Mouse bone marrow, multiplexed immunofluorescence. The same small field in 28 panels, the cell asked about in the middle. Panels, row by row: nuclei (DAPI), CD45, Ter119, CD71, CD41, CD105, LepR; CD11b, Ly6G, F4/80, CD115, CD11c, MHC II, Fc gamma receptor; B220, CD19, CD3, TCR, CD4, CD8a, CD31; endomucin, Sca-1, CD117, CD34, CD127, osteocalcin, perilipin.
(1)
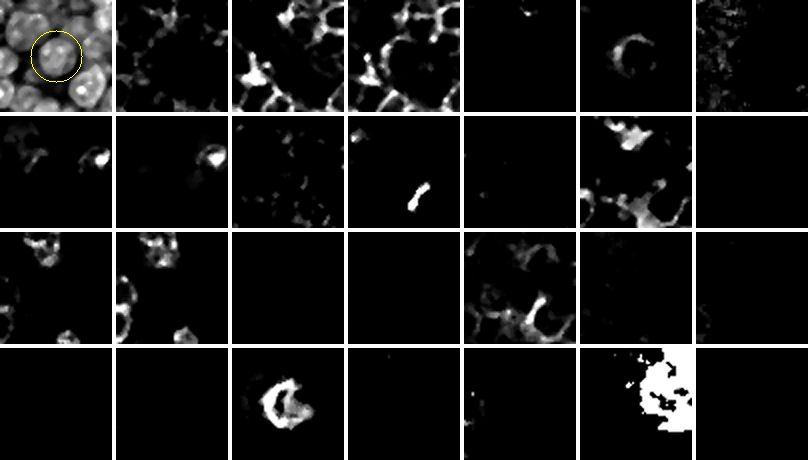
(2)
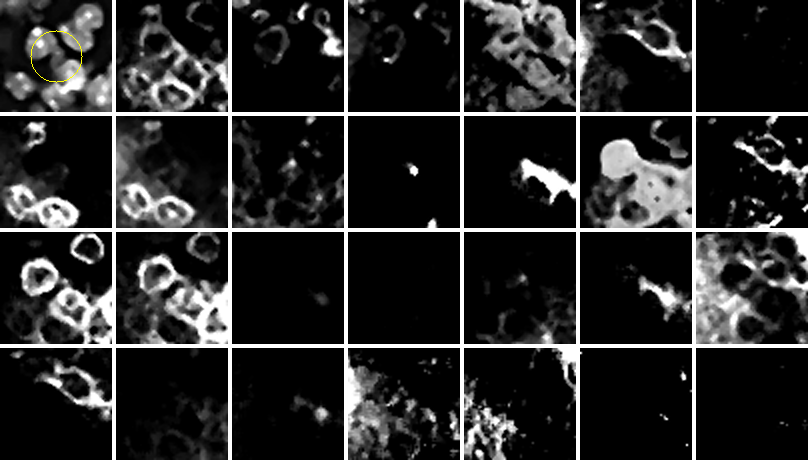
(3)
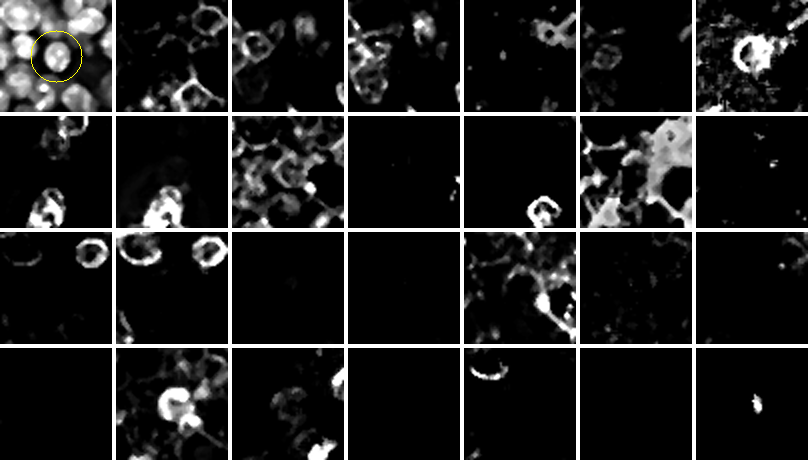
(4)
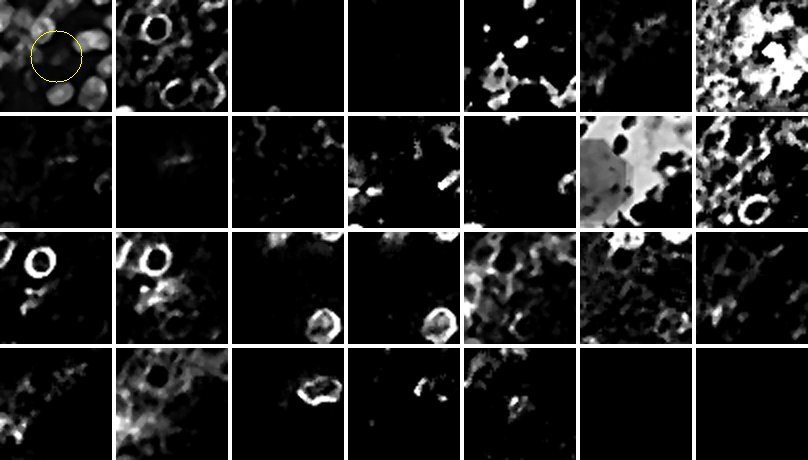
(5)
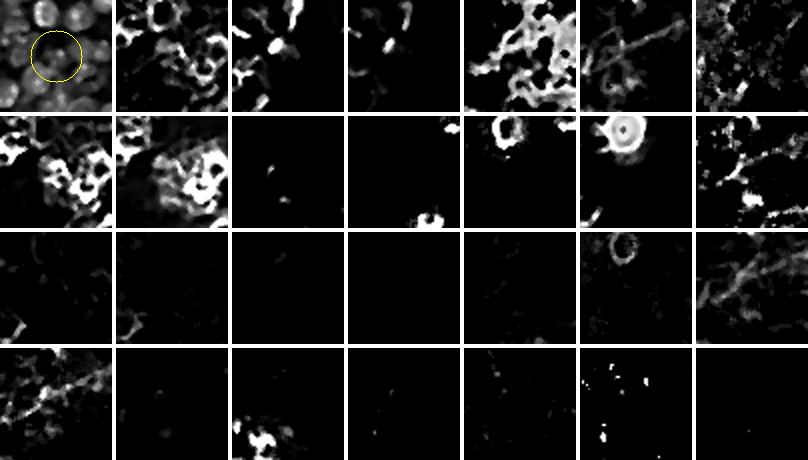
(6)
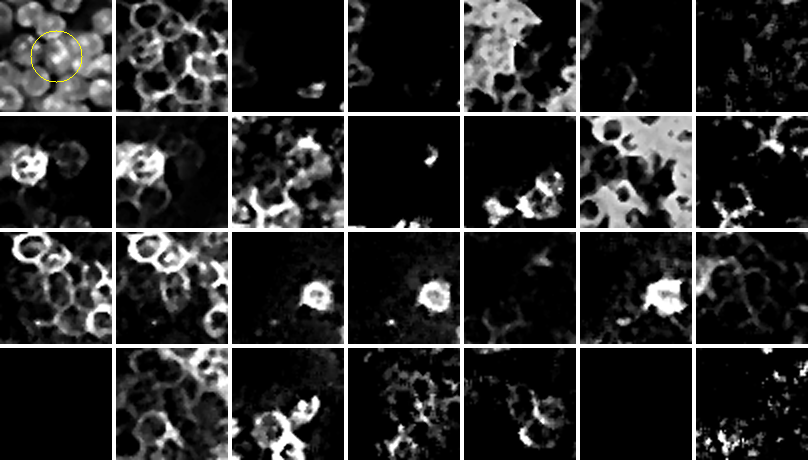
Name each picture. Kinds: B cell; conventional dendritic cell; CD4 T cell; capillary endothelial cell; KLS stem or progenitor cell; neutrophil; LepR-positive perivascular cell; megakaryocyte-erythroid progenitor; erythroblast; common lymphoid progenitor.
Picture 1: megakaryocyte-erythroid progenitor
Picture 2: conventional dendritic cell
Picture 3: LepR-positive perivascular cell
Picture 4: LepR-positive perivascular cell
Picture 5: neutrophil
Picture 6: B cell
